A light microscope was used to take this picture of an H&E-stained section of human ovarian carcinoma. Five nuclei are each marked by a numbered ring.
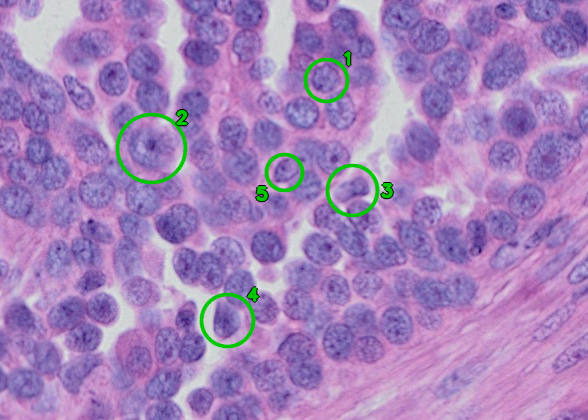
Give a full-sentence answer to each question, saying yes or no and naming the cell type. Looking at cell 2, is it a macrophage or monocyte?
No, calling cell 2 a macrophage or monocyte is a mistake; it is a carcinoma cell.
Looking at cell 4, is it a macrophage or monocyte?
No, cell 4 should be read as a carcinoma cell instead of a macrophage or monocyte.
